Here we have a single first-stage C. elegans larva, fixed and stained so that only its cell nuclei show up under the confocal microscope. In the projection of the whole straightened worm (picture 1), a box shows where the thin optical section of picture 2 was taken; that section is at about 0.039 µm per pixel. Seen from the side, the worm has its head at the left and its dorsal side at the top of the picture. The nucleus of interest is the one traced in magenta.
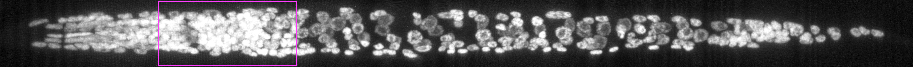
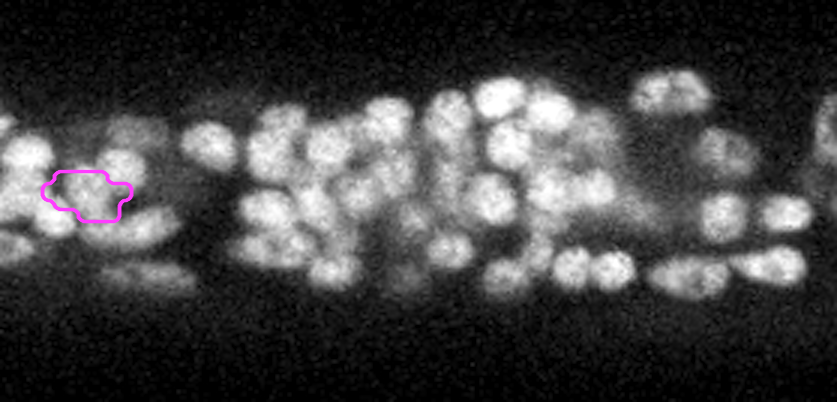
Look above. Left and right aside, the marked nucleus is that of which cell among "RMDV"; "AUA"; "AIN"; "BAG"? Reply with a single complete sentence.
It belongs to BAG, a neuron.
